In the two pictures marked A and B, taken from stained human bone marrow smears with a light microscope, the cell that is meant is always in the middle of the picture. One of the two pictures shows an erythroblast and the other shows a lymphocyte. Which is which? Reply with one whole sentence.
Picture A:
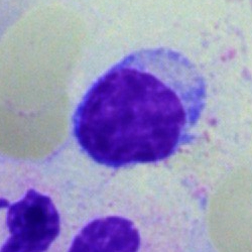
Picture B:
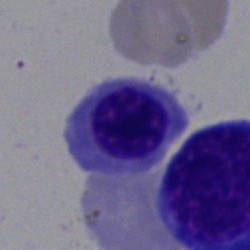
It is picture A that shows a lymphocyte, and picture B that shows an erythroblast.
